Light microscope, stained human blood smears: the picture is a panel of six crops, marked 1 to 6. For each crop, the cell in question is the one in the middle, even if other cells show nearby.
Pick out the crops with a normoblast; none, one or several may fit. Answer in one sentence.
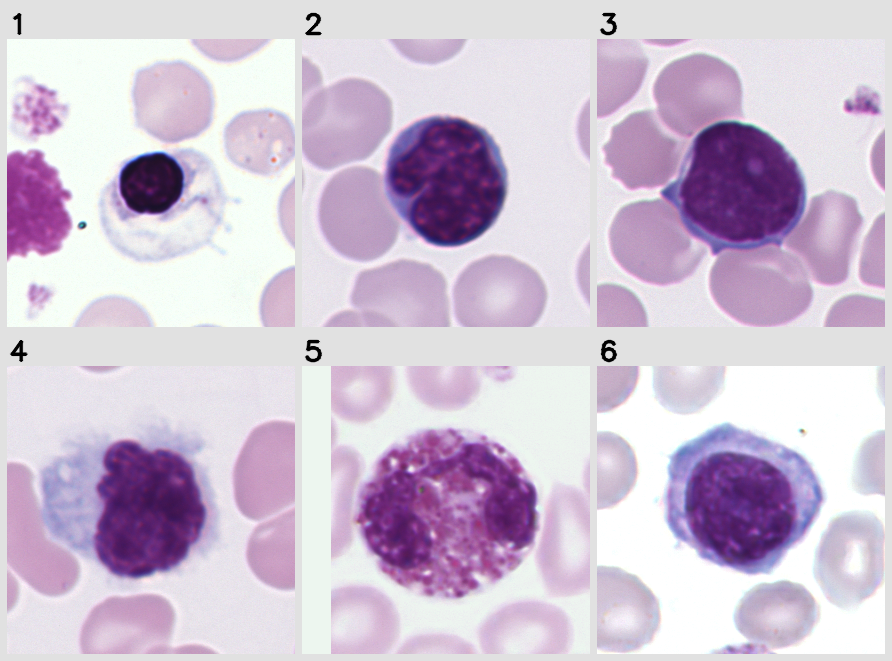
Just crop 1 has a normoblast; the rest do not.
